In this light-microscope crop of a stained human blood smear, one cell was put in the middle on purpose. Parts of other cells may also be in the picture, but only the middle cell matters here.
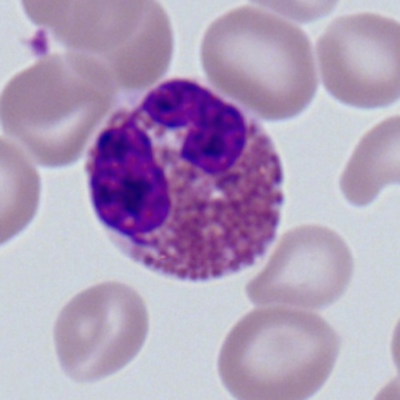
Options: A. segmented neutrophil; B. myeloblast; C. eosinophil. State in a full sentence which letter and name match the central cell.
Option C is right, the centrally situated cell being an eosinophil.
